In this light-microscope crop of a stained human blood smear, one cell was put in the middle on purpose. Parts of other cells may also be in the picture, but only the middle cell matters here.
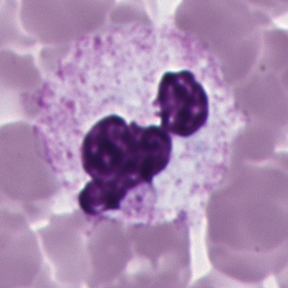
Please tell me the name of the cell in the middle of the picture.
segmented neutrophil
